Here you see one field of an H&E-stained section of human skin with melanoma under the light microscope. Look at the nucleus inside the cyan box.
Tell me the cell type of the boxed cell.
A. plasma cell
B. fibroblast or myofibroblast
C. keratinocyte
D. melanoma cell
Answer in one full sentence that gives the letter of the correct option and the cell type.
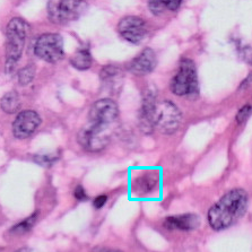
The correct response is option D: the boxed cell is a melanoma cell.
